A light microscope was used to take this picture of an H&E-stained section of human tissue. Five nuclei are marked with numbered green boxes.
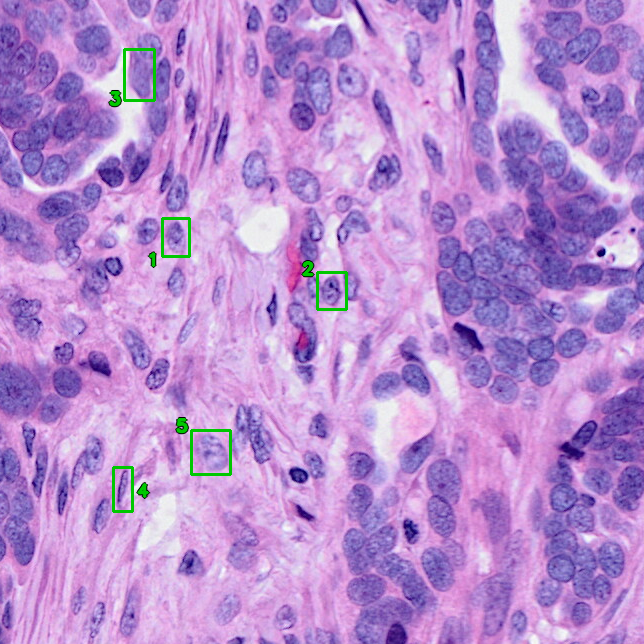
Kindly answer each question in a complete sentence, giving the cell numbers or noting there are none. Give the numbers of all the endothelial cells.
Across the numbered cells, there are no endothelial cells.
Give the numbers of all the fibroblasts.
The cells carrying the numbers 1, 4 and 5 are fibroblasts.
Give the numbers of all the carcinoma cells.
The cell labelled 3 is a carcinoma cell, while the remaining numbered cells are not.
